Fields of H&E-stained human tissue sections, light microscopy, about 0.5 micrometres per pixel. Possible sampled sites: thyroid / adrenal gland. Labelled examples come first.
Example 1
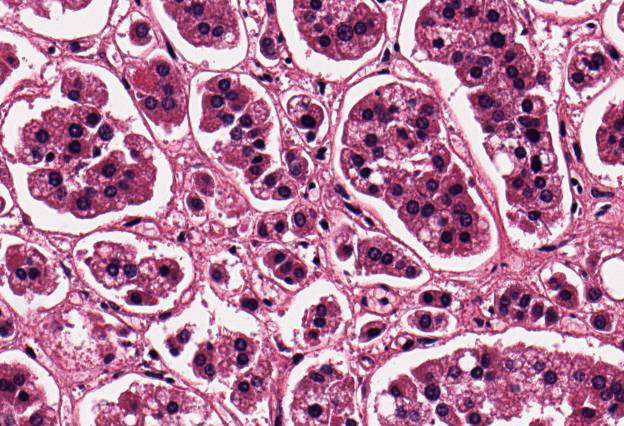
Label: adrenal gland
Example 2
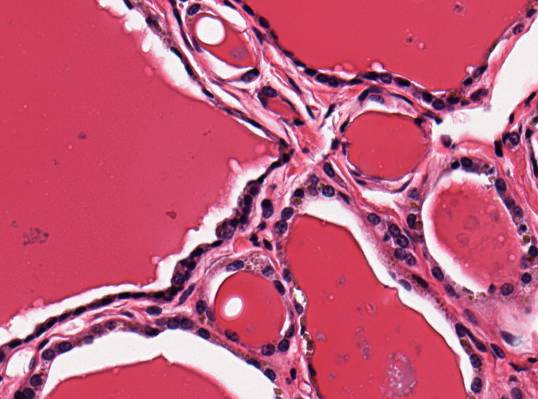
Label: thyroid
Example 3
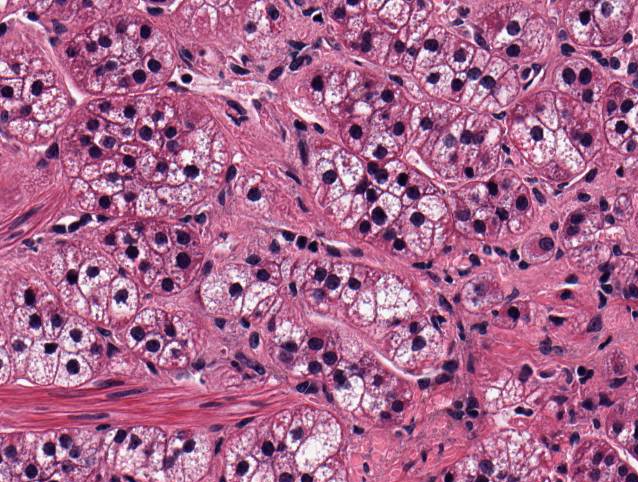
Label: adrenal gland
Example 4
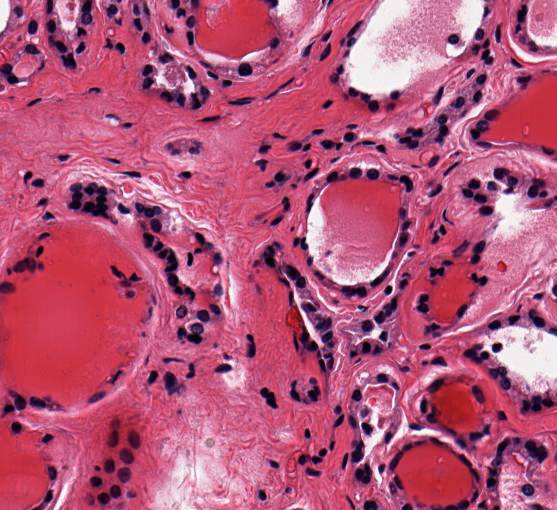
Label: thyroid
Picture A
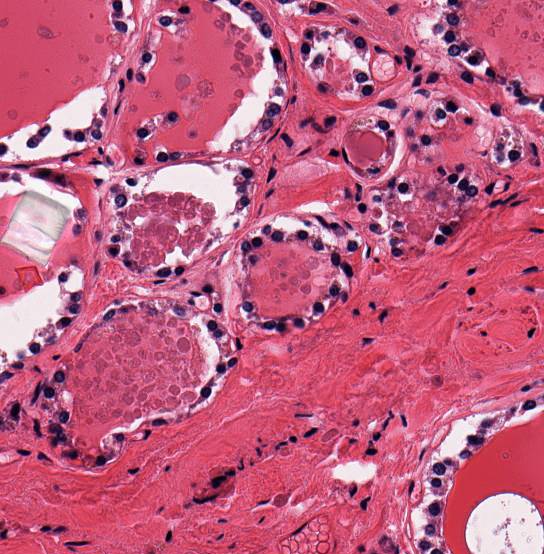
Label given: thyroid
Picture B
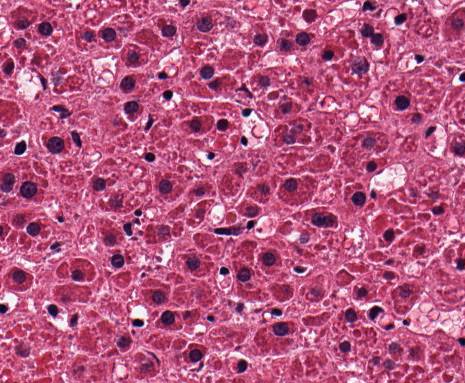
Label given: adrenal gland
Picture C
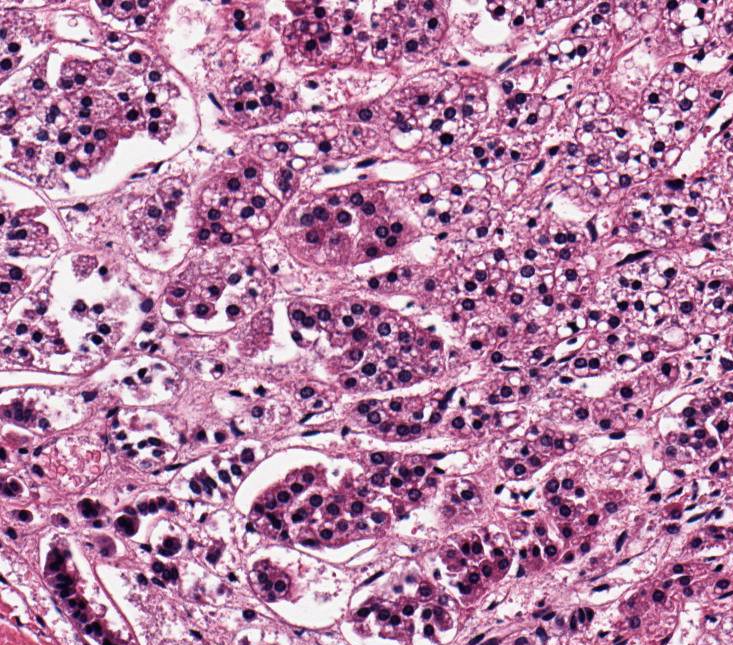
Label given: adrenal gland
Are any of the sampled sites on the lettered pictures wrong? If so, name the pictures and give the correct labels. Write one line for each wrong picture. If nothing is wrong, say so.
All labels are correct.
